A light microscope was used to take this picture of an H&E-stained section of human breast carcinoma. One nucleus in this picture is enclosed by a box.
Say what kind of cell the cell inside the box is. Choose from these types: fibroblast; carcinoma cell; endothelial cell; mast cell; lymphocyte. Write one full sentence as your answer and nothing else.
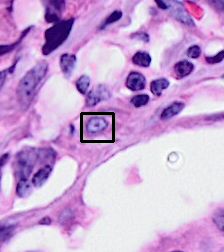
By its classification, the cell inside the box is an endothelial cell.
